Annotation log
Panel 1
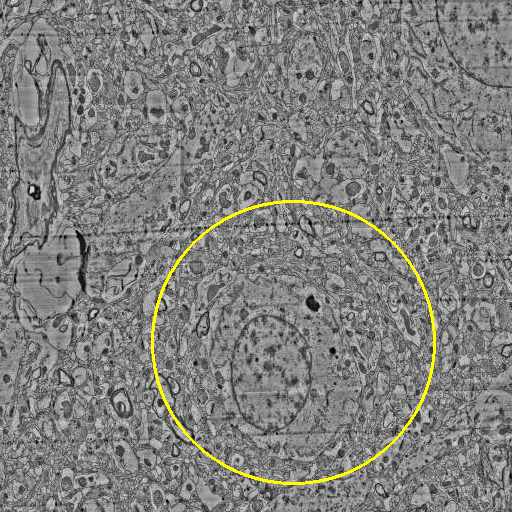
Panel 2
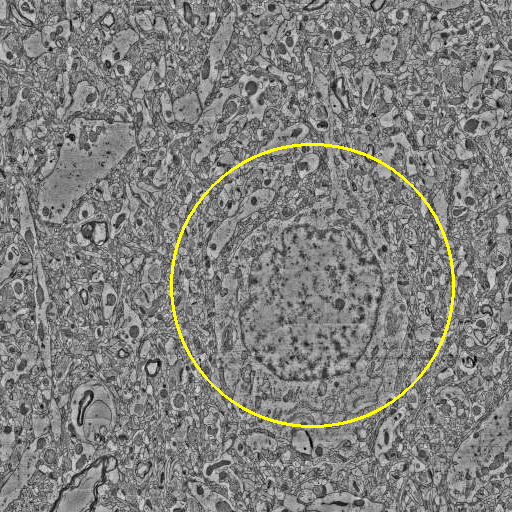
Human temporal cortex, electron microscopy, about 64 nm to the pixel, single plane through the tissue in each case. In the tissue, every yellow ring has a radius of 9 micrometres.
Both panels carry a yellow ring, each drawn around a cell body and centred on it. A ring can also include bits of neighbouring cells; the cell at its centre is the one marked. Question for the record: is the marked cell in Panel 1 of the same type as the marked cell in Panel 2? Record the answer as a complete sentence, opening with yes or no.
No, the marked cells in Panel 1 and Panel 2 are of two types.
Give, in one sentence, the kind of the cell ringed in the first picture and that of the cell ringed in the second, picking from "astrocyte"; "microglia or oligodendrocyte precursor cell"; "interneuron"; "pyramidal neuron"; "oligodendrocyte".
For the first picture it is a pyramidal neuron; for the second, an interneuron.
